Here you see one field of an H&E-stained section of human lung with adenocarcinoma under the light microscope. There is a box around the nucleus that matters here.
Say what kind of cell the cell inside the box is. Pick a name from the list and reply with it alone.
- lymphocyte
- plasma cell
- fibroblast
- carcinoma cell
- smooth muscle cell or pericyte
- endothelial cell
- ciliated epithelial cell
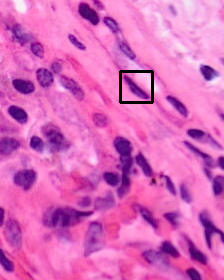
endothelial cell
